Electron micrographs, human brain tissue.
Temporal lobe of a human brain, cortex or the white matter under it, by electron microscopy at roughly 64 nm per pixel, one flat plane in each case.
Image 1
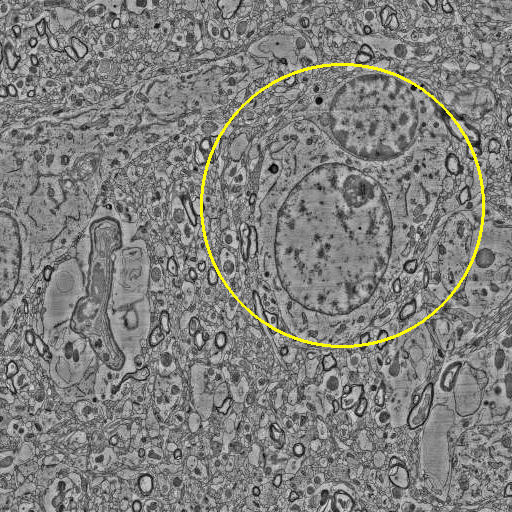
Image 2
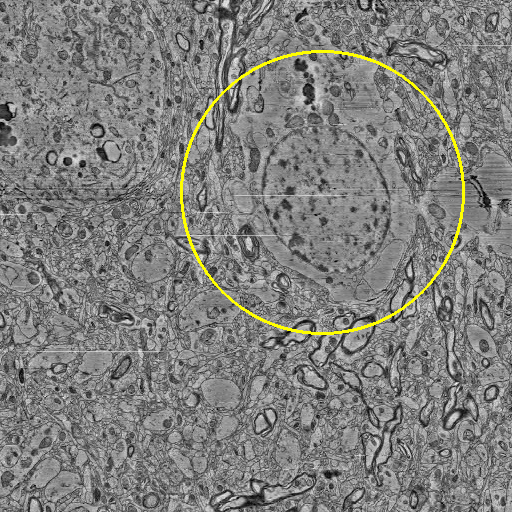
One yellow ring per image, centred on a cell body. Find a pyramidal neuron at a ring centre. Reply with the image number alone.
1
